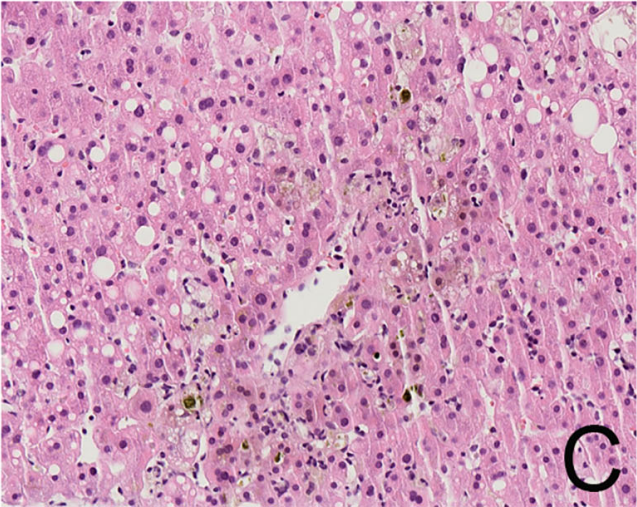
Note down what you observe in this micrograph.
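Liver tissue with plates of polygonal hepatocytes, pink cytoplasm and round central nuclei, arranged around an open central vein. A few hepatocytes contain single large round clear fat vacuoles that fill the cell. Near the central vein, clumps of brown-green bile pigment lie within and between liver cells, some in rounded pigment-laden cells, marking cholestasis. The area around the vein shows somewhat disorganised cell plates with scattered small dark nuclei. No sheets of atypical lymphoid cells are seen.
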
